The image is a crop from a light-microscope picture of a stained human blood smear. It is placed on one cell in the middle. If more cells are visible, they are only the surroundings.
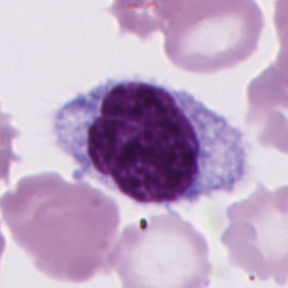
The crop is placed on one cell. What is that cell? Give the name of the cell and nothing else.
hairy cell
